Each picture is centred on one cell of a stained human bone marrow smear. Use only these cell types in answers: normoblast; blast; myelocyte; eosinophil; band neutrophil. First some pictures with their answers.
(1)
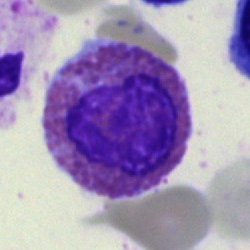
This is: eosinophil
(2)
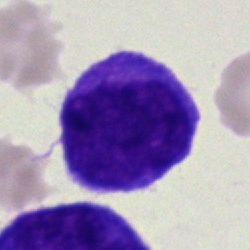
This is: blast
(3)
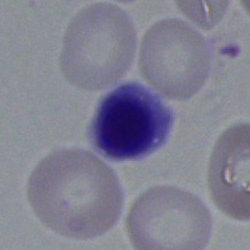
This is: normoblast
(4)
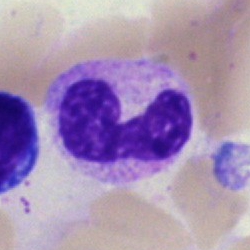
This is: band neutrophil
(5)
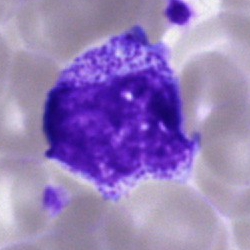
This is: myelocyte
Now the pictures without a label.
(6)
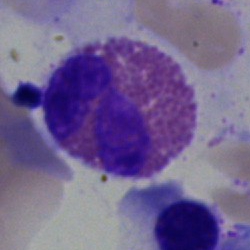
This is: eosinophil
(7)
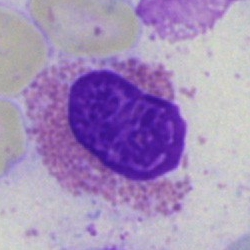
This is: eosinophil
